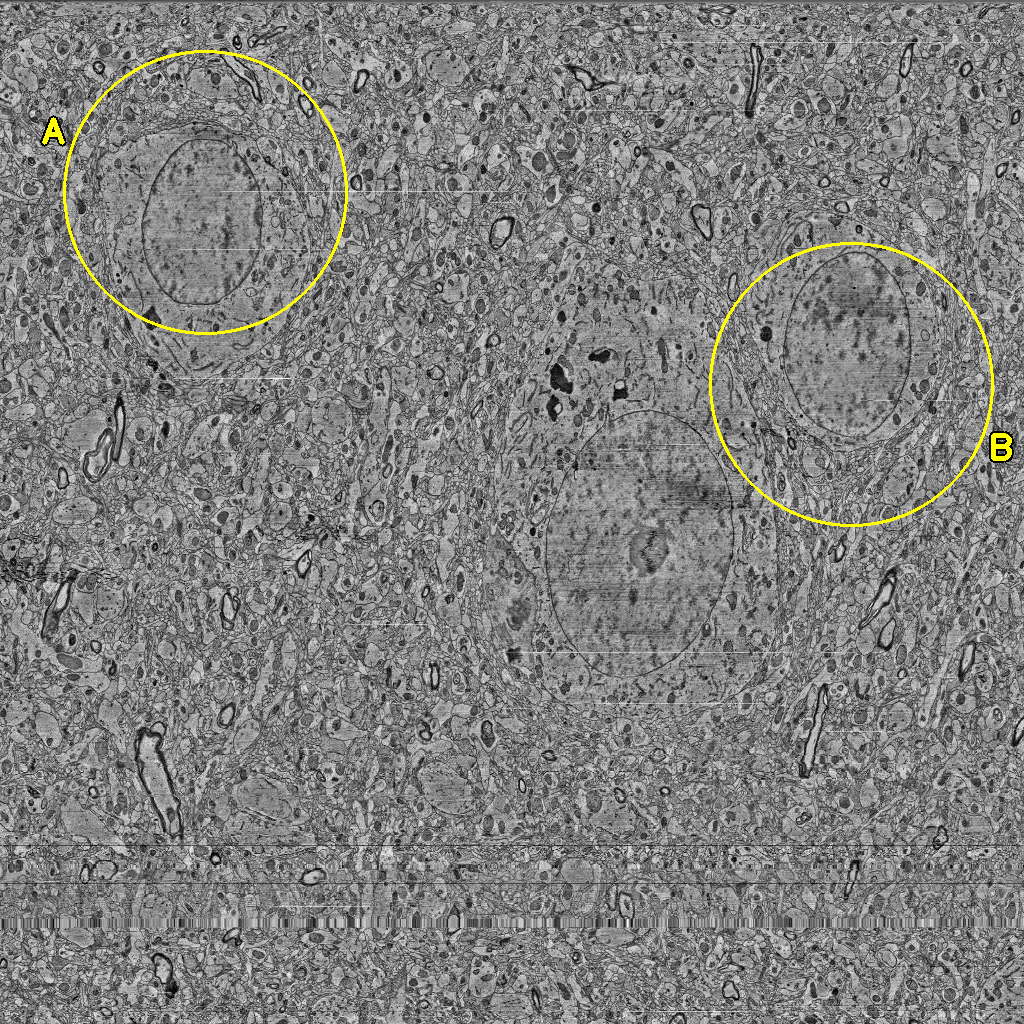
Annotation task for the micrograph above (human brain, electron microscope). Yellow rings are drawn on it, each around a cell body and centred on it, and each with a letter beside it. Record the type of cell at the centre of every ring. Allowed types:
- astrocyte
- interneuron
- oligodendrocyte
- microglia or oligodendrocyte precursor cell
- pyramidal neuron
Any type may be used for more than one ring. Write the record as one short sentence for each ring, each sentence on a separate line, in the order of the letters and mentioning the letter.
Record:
The cell centred in ring A is a pyramidal neuron.
The cell centred in ring B is a pyramidal neuron.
